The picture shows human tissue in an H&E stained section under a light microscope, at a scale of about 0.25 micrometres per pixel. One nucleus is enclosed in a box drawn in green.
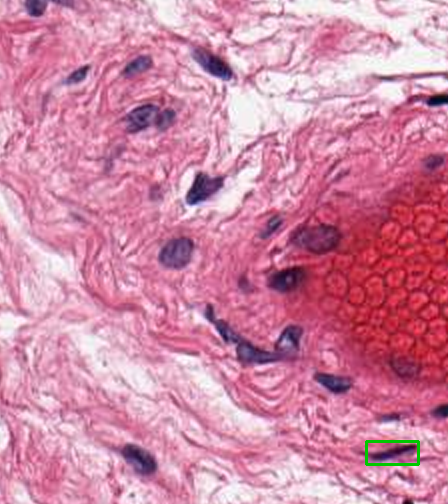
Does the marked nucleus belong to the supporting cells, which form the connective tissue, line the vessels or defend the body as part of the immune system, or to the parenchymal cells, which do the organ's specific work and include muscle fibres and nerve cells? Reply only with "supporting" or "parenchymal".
supporting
